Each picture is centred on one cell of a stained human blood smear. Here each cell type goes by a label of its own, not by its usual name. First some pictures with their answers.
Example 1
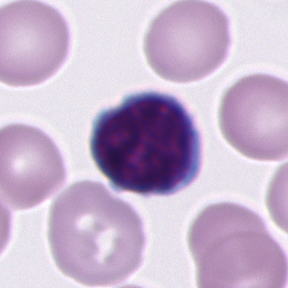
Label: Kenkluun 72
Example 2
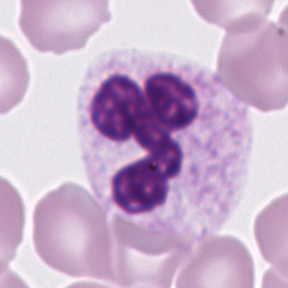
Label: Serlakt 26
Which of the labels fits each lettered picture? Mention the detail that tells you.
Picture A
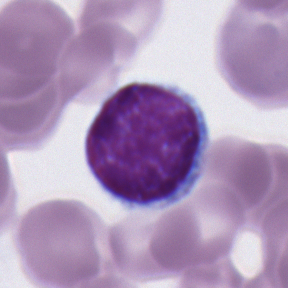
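Kenkluun 72: The cytoplasm forms only a thin rim around the nucleus.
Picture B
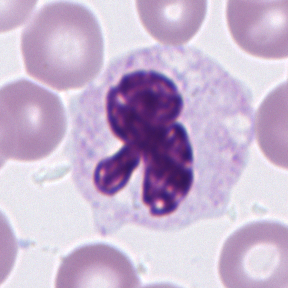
Serlakt 26: The cytoplasm is plentiful and pale lilac-grey.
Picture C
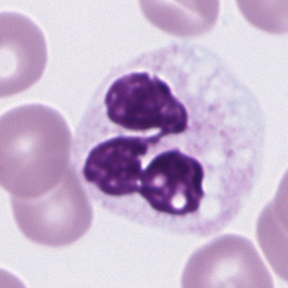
Serlakt 26: The nucleus is divided into three separate lobes.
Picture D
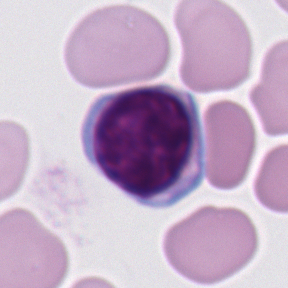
Kenkluun 72: The cytoplasm forms only a thin rim around the nucleus.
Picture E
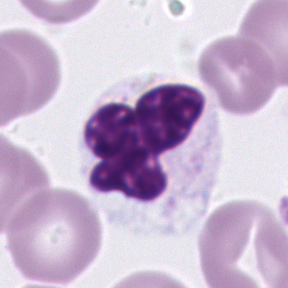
Serlakt 26: The cytoplasm is plentiful and very pale.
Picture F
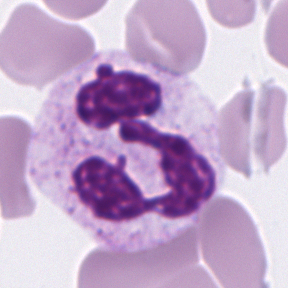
Serlakt 26: The cytoplasm is abundant and pale pinkish-lilac.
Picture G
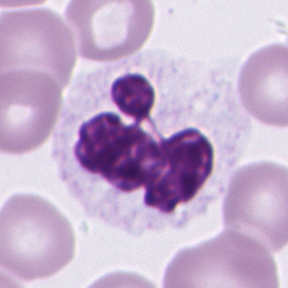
Serlakt 26: The cytoplasm is plentiful and very pale pinkish-grey.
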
